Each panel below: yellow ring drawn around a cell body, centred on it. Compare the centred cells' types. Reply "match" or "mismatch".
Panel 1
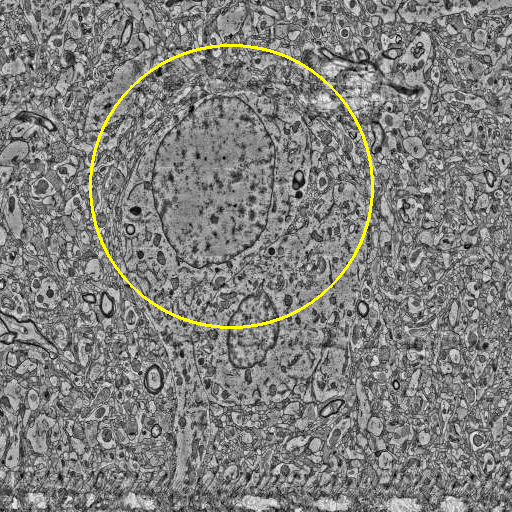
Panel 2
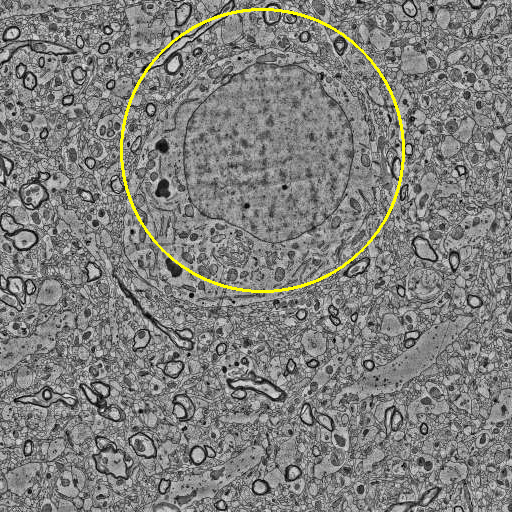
mismatch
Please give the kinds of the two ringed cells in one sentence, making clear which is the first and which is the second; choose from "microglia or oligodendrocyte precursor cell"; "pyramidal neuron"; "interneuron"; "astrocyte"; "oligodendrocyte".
In the second picture the ringed cell is an interneuron; in the first it is a pyramidal neuron.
